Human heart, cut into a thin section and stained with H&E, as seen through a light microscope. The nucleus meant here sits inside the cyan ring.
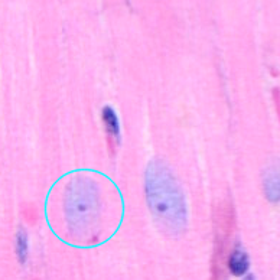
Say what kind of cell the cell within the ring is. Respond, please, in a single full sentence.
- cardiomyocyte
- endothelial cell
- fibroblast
In cell-type terms, the cell within the ring is a cardiomyocyte.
